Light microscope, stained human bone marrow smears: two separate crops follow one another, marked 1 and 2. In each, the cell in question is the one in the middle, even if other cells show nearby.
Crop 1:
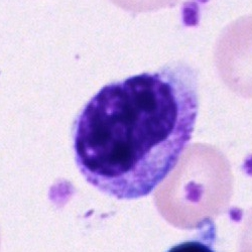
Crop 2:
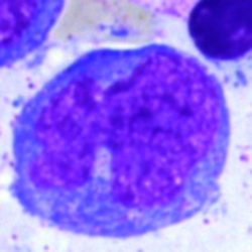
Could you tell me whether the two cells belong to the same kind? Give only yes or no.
no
